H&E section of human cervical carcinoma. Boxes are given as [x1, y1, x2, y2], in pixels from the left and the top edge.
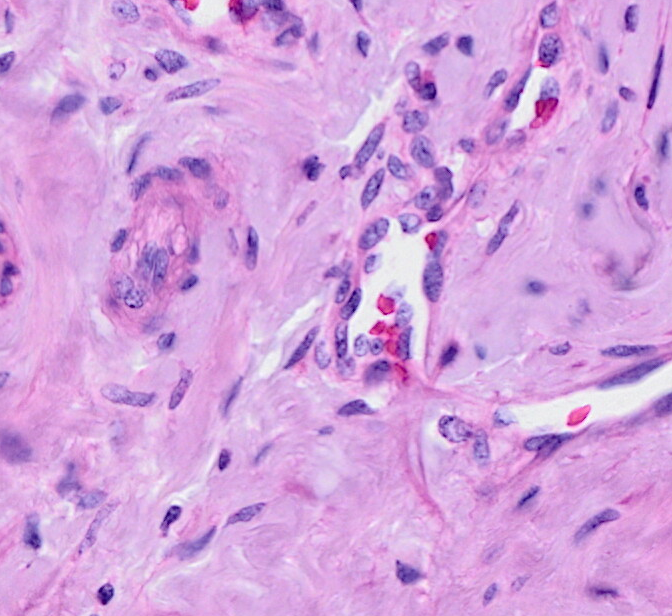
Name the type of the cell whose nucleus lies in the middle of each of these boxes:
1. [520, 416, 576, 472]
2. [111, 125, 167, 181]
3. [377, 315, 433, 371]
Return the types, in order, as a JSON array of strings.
["endothelial cell", "fibroblast", "endothelial cell"]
